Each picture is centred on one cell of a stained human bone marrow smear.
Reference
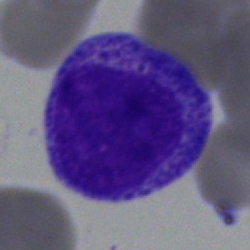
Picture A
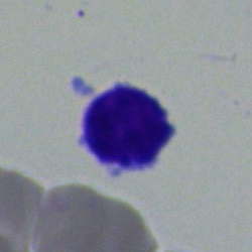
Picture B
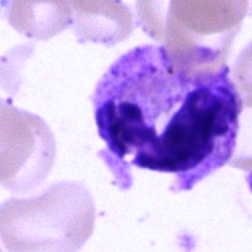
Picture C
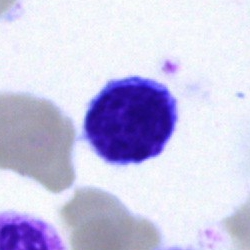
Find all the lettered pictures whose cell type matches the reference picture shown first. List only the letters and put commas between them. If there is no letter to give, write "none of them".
none of them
